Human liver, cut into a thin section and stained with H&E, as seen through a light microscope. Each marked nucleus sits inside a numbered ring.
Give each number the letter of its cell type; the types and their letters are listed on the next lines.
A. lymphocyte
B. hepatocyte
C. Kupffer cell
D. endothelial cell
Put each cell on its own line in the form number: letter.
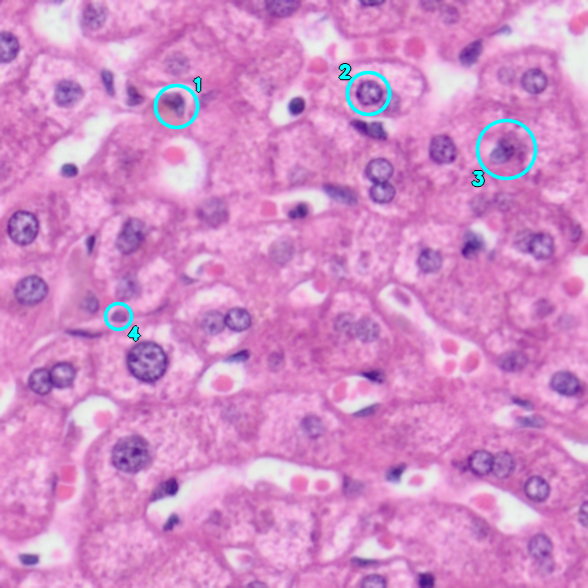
1: C
2: B
3: D
4: A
